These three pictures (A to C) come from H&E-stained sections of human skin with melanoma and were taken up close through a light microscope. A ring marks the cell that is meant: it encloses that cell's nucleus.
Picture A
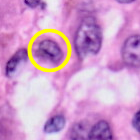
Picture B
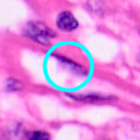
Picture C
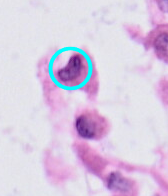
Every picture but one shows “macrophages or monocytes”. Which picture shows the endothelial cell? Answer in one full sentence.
The picture with the endothelial cell is B.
